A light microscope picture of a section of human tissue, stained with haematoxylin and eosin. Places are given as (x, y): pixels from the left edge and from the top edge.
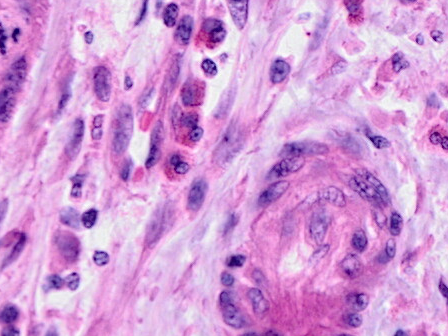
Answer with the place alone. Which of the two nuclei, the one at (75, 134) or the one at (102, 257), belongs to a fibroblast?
(75, 134)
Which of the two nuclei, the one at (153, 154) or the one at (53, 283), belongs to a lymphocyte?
(53, 283)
